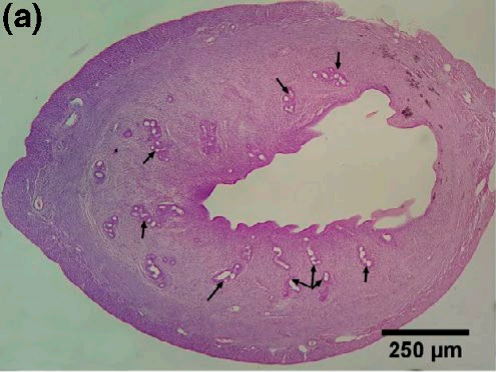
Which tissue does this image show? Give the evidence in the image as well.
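Uterus. A hollow organ cut across with a central irregular lumen. A thick wall with an inner stroma and an outer muscular layer. Small glands scattered in the stroma around the lumen.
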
